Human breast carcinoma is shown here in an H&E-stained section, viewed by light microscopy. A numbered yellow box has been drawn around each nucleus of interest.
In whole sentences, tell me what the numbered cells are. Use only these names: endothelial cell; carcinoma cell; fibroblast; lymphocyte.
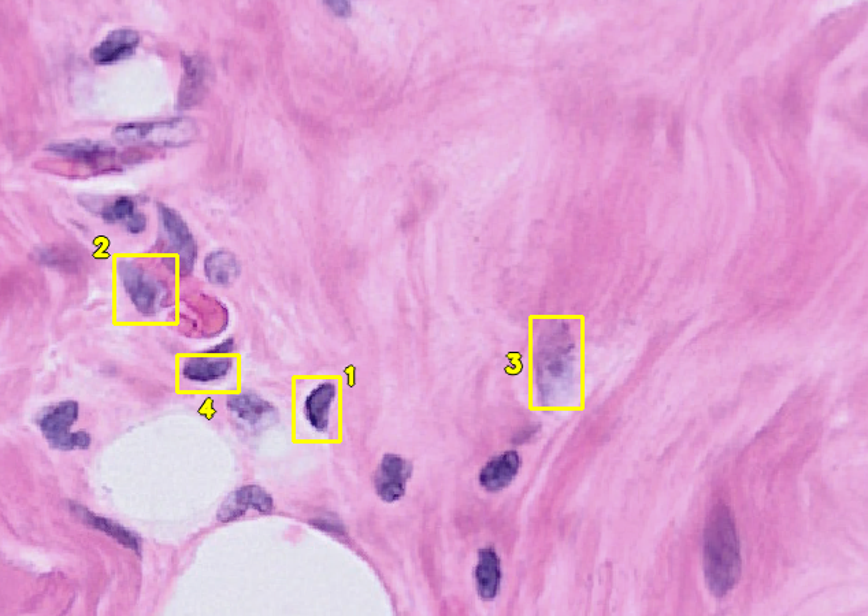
Cell 1 is a lymphocyte. Cells 2 and 4 are endothelial cells. Cell 3 is a fibroblast.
